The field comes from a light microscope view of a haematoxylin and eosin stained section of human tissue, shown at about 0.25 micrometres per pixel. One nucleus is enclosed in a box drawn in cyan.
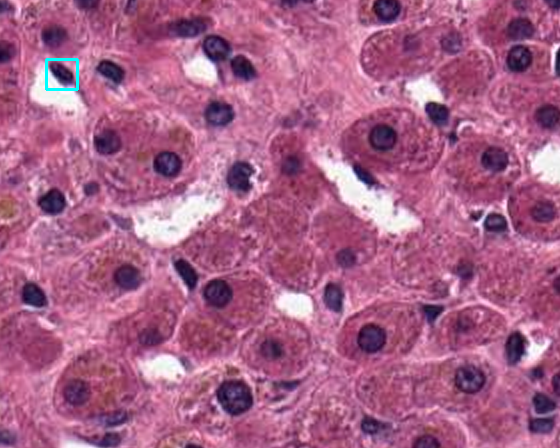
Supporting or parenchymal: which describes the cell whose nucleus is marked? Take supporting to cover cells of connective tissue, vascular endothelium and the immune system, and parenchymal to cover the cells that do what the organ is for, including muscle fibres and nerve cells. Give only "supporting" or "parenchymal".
supporting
